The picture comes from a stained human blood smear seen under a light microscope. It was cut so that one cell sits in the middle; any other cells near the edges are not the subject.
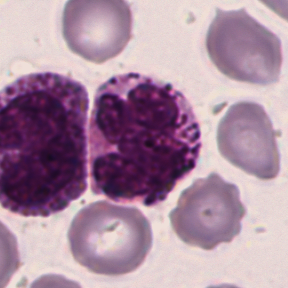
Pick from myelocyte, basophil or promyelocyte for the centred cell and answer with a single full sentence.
In the central position of this crop, the cell is a basophil.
